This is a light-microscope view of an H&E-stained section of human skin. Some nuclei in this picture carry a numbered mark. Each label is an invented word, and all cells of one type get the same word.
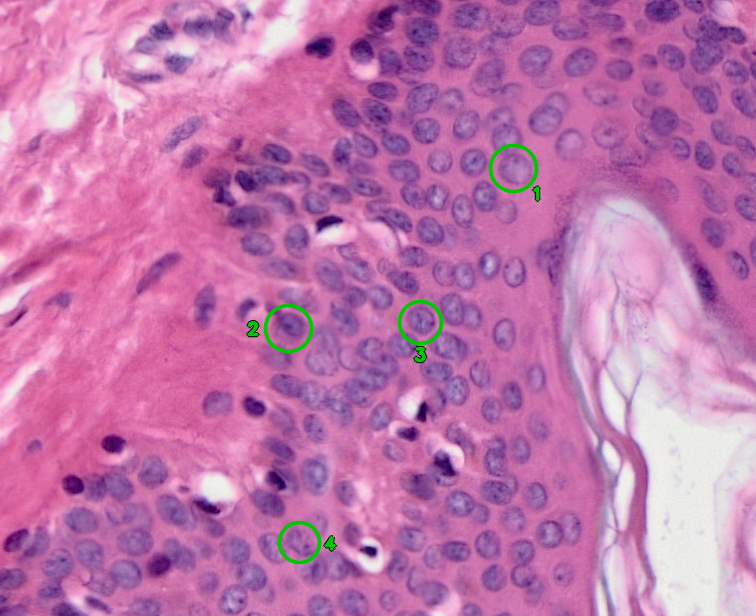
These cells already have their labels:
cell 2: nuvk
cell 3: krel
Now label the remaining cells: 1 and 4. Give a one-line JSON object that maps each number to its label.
{"1": "krel", "4": "krel"}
